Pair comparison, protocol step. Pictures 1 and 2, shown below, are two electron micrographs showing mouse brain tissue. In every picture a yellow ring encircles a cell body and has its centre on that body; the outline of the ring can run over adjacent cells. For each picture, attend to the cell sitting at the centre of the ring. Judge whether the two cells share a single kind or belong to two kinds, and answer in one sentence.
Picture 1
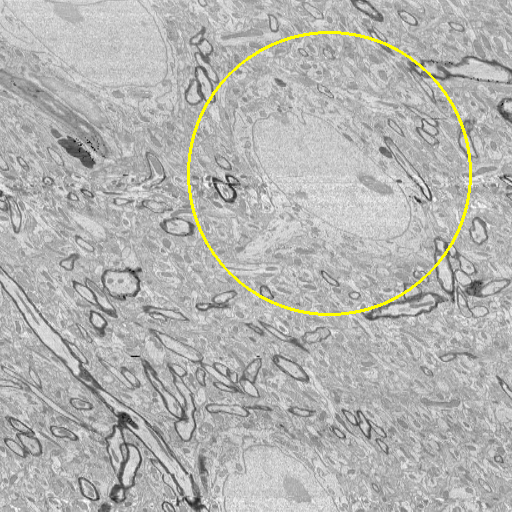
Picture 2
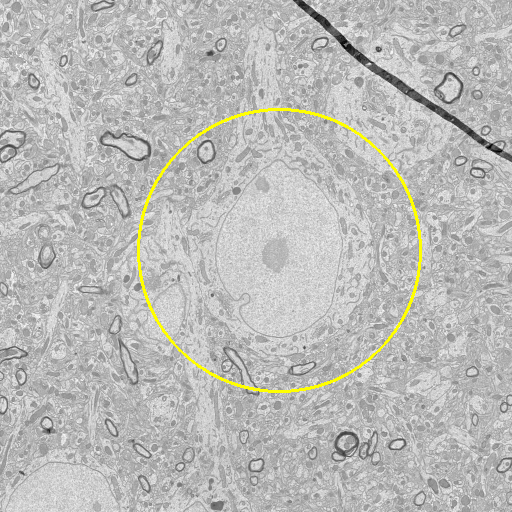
The two cells at the ring centres in Picture 1 and Picture 2 share a single kind.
